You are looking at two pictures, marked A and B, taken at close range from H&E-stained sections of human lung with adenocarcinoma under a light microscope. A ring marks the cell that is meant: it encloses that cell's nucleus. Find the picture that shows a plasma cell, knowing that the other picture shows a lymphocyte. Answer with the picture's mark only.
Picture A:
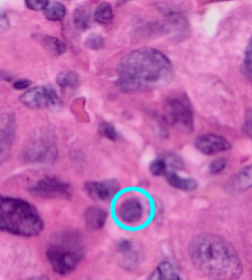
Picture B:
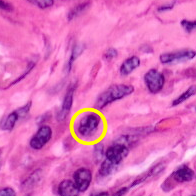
B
